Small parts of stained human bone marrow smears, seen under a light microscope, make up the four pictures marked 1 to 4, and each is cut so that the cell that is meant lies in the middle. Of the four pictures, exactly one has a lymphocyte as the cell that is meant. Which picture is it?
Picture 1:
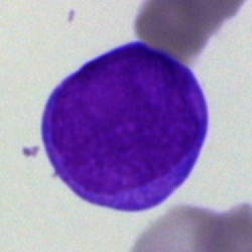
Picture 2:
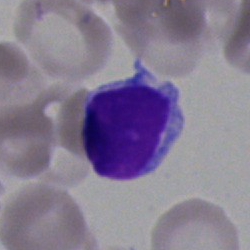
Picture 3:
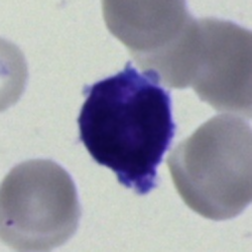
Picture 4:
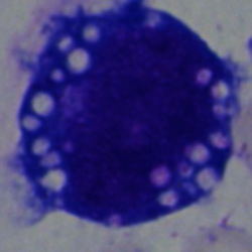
2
